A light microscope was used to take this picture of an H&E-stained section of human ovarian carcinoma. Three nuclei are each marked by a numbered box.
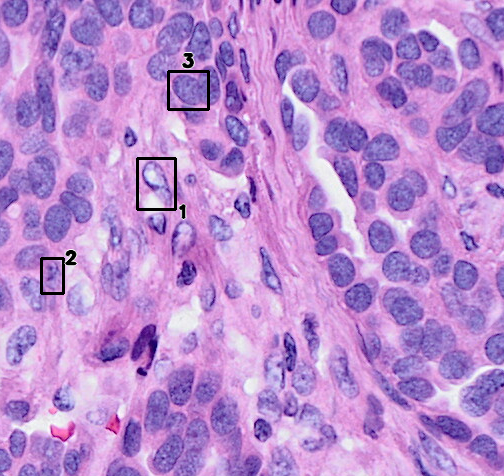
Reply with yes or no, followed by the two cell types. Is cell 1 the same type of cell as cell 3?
No, cell 1 is a fibroblast, but cell 3 is a carcinoma cell.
